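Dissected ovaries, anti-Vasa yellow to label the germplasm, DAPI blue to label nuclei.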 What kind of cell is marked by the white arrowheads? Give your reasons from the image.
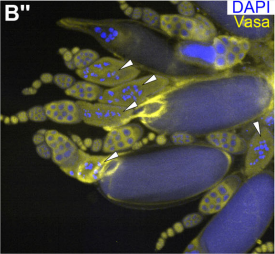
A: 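Apoptotic cells. The arrowheads point at egg chambers containing clumps of small, bright blue condensed nuclear bodies.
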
